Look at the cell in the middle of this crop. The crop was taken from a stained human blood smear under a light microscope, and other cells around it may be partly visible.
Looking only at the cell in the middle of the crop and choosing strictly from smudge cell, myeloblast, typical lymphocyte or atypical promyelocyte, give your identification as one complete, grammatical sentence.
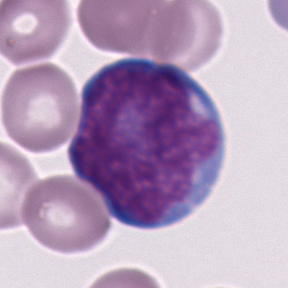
The centrally positioned cell in the crop represents a myeloblast.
